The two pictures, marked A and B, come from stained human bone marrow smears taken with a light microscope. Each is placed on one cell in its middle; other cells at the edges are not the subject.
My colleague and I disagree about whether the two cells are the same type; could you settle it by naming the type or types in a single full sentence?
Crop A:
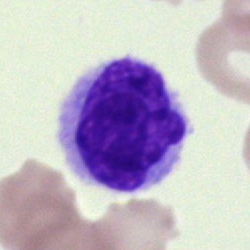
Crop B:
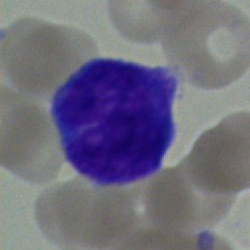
No, what crop A shows is a monocyte, and what crop B shows is a blast.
